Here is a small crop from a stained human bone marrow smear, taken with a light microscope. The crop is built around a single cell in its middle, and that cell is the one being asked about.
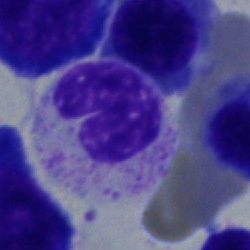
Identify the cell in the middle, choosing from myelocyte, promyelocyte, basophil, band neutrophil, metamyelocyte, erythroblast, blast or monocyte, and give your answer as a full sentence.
Here the cell in the middle is a band neutrophil.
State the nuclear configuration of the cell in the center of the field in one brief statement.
There is one compact nucleus, and its shape is round, oval or kidney-like.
